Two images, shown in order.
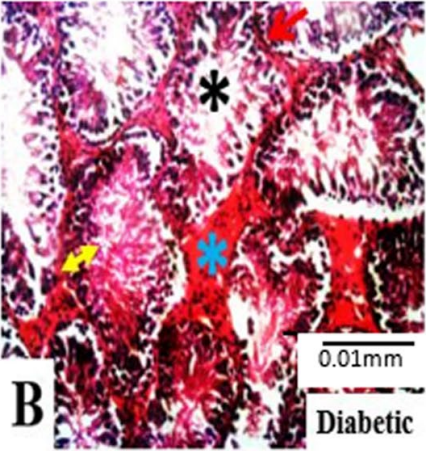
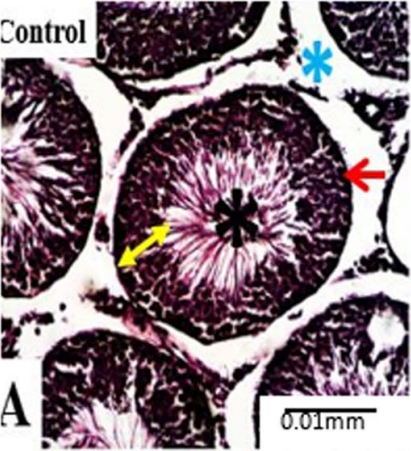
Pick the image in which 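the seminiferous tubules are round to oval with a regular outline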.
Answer: The second image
